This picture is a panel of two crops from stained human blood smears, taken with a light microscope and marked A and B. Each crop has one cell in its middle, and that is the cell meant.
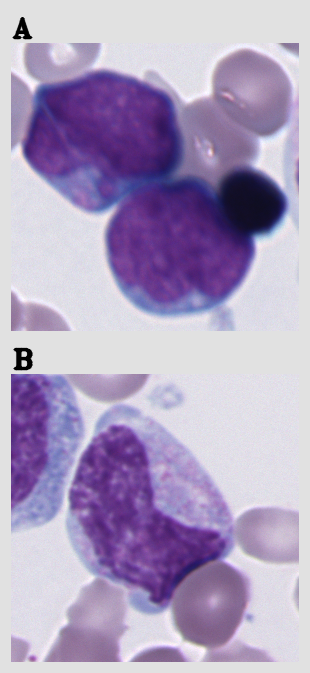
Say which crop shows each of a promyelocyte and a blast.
A: blast
B: promyelocyte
